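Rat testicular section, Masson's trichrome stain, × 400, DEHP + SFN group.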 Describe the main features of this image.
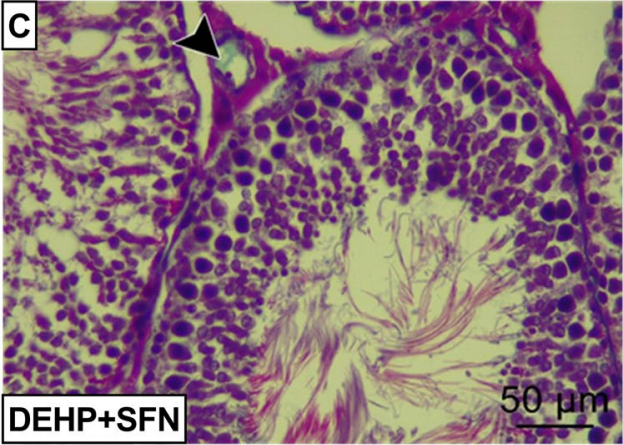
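Seminiferous tubules with a multilayered epithelium of spermatogenic cells, dark purple round nuclei packed in several rows from the border toward the lumen. The lumen of the central tubule holds a sweeping bundle of pink thread-like sperm tails. Tubules lie close together with thin purple-red borders. At one junction between tubules a small patch of blue-green fibrous material sits beside a reddish interstitial structure, a modest collagen deposit. Some looser, paler areas appear in adjacent tubules, but overall the epithelial layering is retained.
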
